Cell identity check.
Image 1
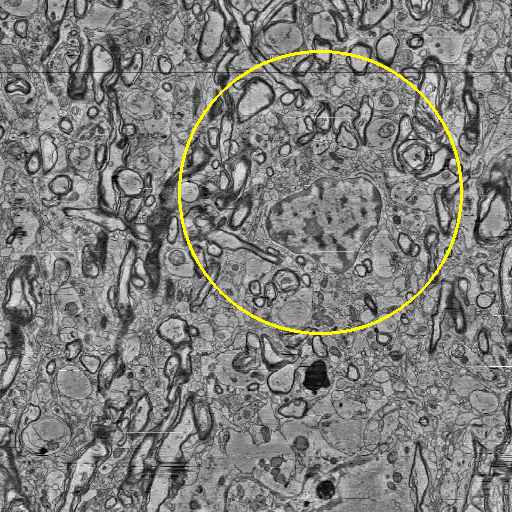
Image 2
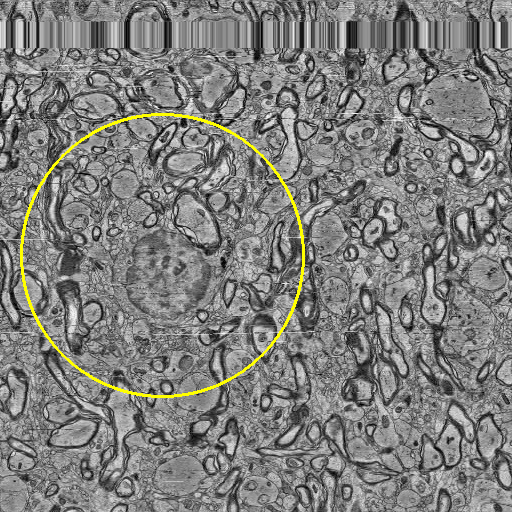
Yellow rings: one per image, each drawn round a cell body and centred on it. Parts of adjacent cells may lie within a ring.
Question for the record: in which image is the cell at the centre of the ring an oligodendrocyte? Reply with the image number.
2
